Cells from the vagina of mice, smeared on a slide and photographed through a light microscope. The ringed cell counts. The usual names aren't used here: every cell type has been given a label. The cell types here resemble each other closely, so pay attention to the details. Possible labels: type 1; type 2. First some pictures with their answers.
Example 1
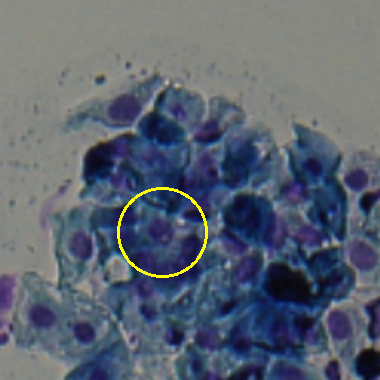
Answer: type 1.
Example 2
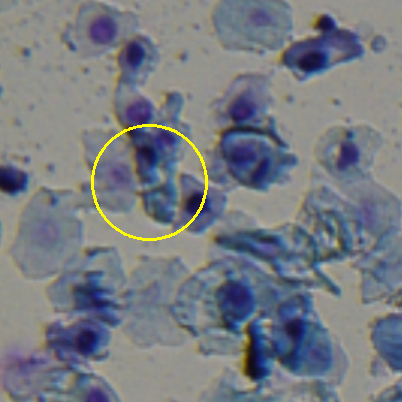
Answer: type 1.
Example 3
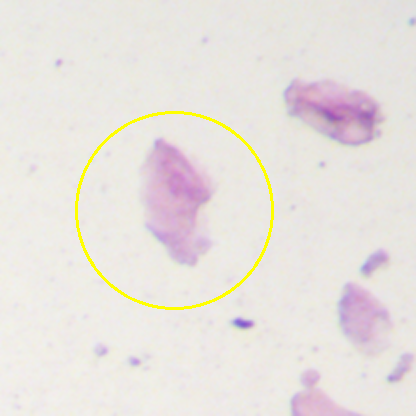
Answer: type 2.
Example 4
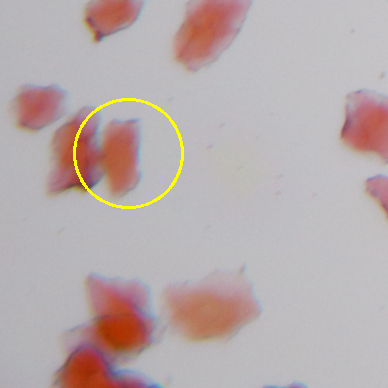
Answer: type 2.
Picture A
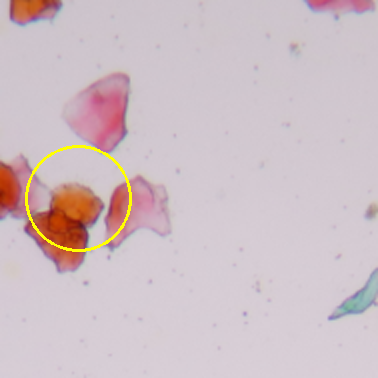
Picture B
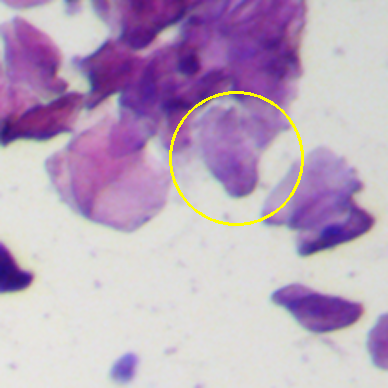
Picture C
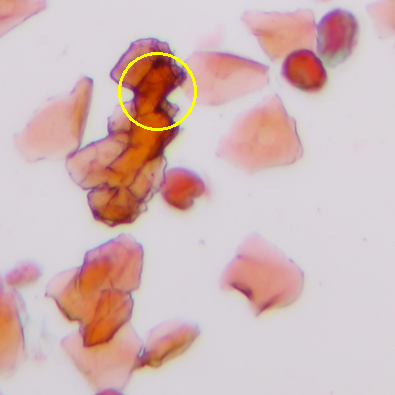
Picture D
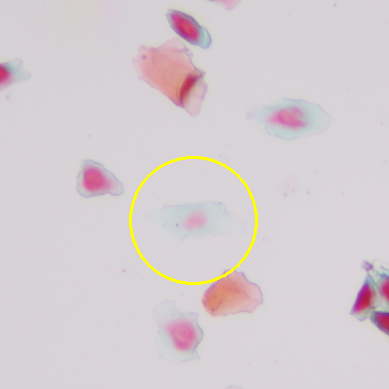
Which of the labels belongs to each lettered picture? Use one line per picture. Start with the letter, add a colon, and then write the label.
A: type 2.
B: type 2.
C: type 2.
D: type 1.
